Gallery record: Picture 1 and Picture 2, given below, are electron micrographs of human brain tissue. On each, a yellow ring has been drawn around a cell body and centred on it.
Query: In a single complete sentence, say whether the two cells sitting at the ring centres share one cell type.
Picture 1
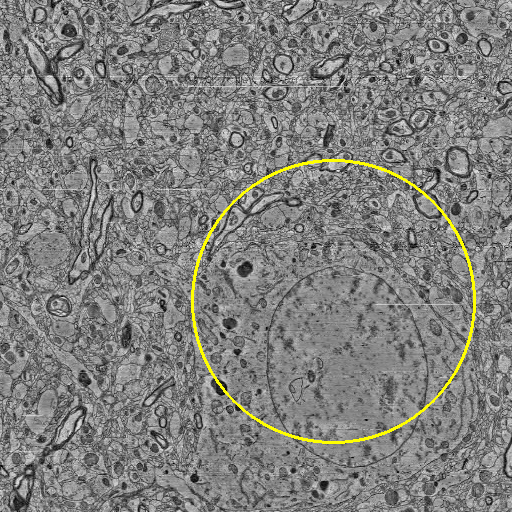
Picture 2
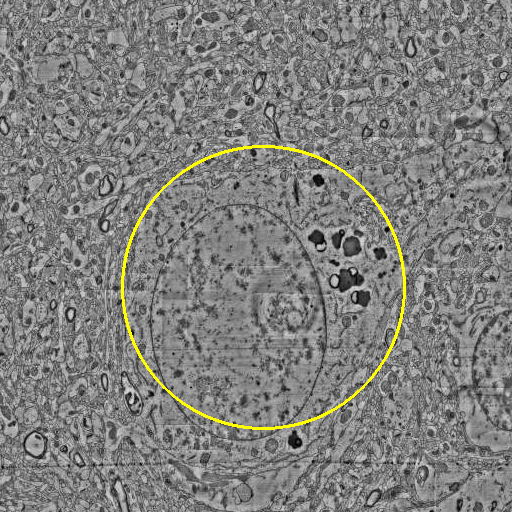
Yes, in both pictures the cell at the ring's centre is of one and the same type.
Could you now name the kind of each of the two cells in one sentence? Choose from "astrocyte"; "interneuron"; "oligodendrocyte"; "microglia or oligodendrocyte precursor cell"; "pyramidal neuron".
The first and the second cell are each a pyramidal neuron.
